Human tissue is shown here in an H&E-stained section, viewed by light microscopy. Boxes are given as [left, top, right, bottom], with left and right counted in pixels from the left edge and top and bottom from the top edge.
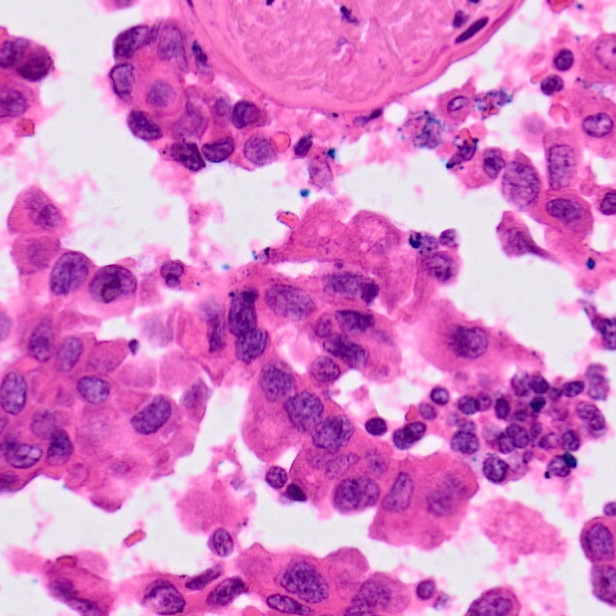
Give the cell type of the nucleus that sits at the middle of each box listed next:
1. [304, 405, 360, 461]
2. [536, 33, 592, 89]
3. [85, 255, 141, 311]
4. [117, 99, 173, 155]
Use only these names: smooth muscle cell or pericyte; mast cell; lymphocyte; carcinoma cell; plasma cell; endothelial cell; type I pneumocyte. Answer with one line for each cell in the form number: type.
1: carcinoma cell
2: lymphocyte
3: carcinoma cell
4: carcinoma cell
